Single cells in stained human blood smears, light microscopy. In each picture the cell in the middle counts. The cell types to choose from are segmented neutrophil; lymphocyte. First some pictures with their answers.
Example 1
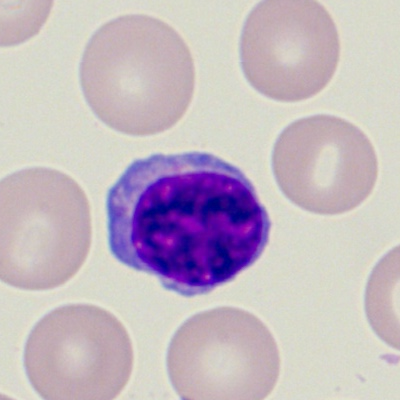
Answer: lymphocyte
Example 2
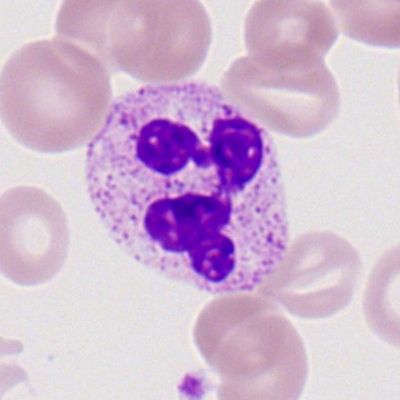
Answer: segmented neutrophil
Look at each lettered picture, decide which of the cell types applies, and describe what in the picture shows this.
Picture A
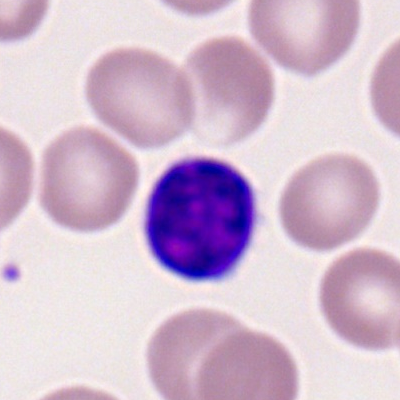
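lymphocyte. Evidence: Cytoplasm is at most a very thin rim around the nucleus.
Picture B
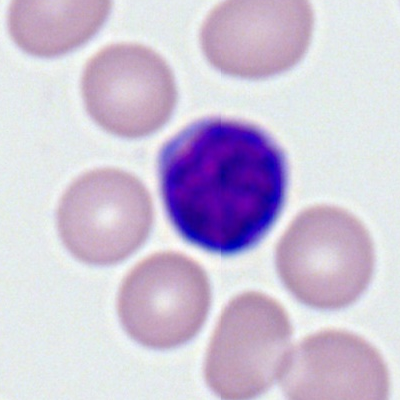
lymphocyte. Evidence: The nucleus fills almost the whole cell.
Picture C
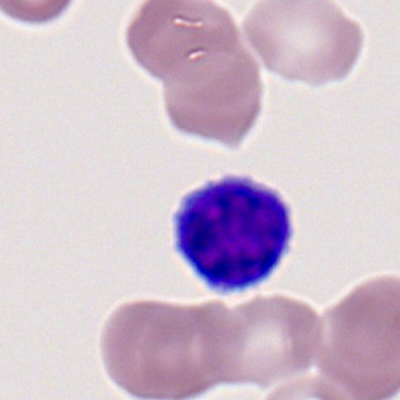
lymphocyte. Evidence: Cytoplasm is scant, at most a thin rim at the cell edge.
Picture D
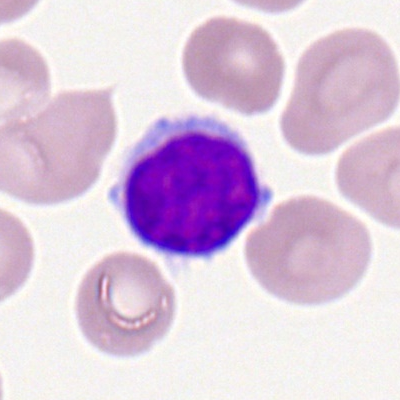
lymphocyte. Evidence: The cytoplasm forms only a narrow rim around the nucleus.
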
